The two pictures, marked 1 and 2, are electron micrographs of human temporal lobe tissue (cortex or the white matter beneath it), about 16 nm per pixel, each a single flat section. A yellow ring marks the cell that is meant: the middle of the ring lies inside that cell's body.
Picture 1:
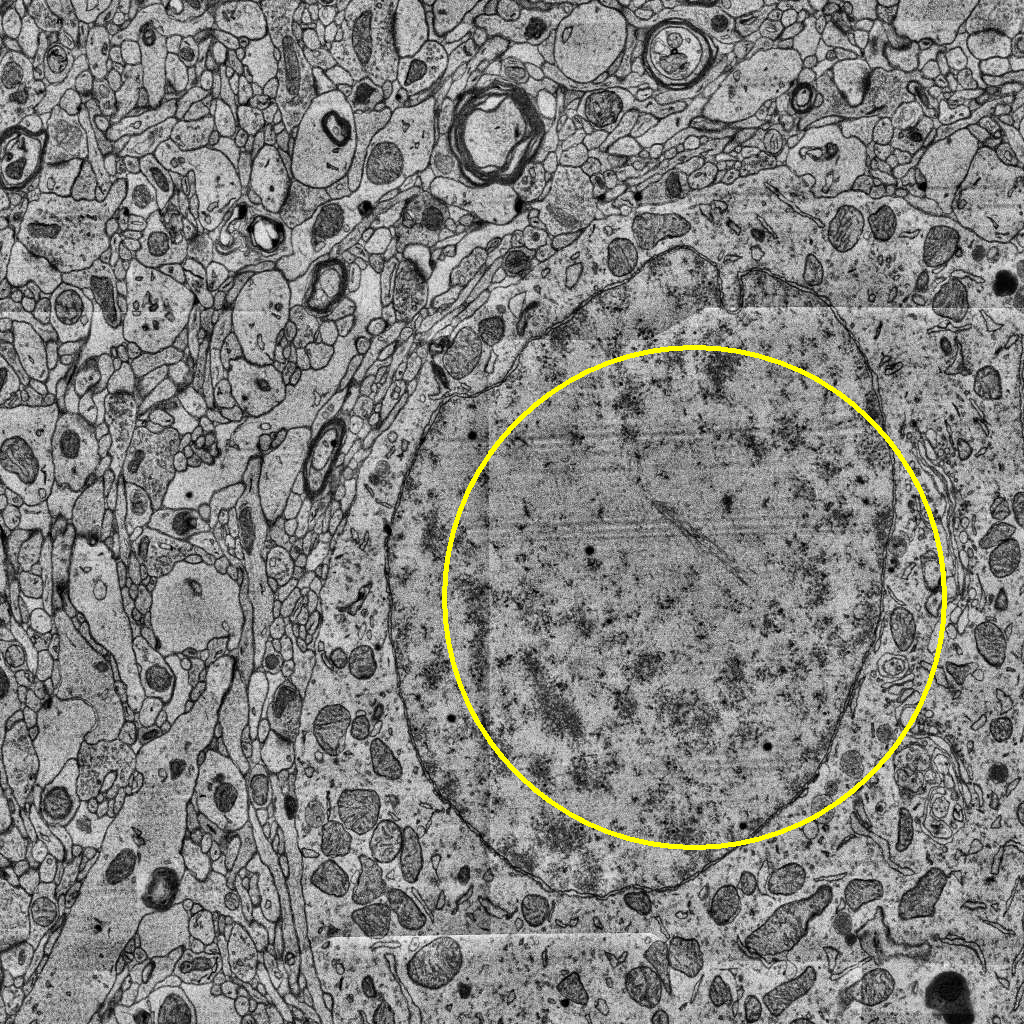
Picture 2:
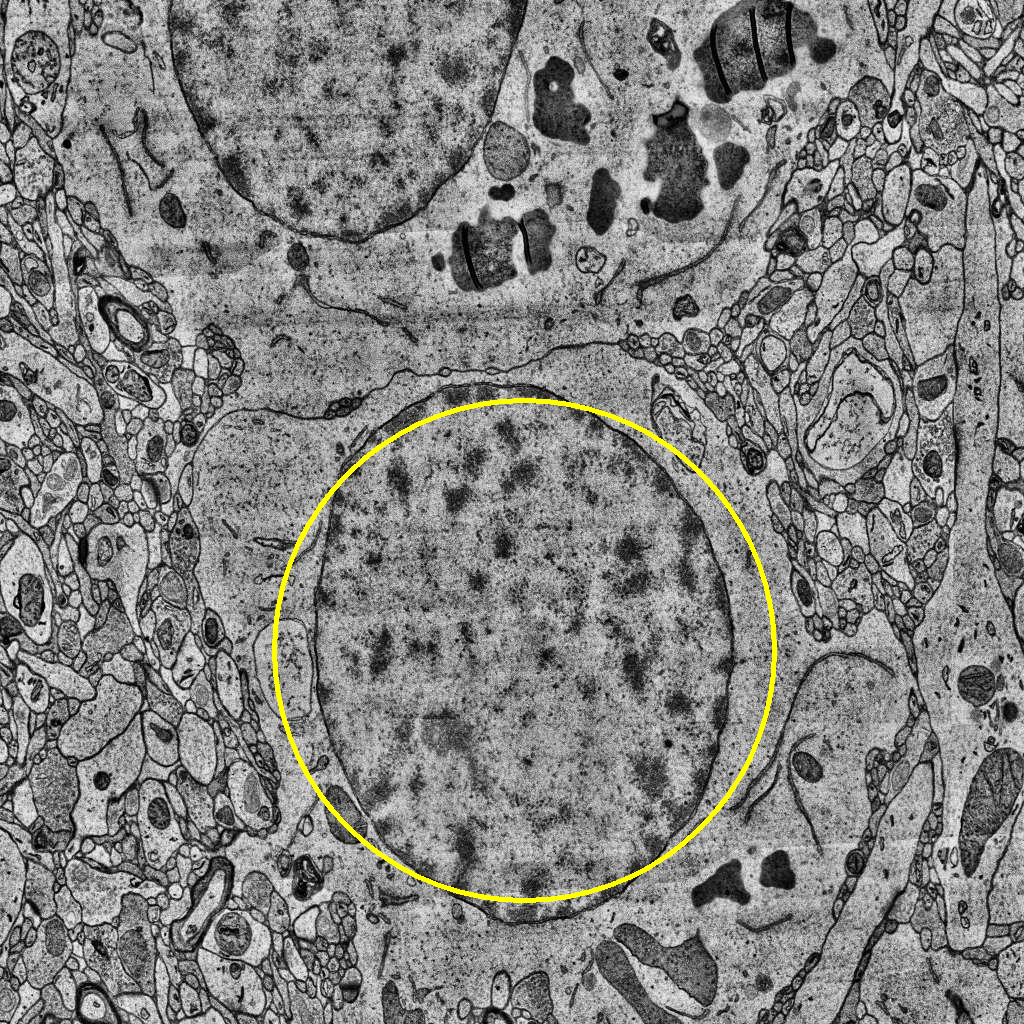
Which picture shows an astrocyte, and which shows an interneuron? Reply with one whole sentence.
Picture 1 shows an interneuron and picture 2 shows an astrocyte.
